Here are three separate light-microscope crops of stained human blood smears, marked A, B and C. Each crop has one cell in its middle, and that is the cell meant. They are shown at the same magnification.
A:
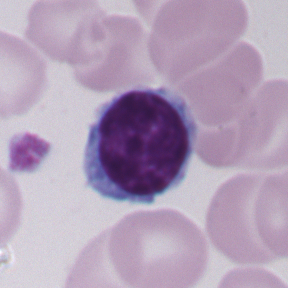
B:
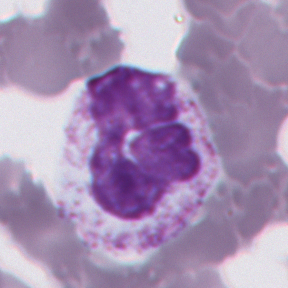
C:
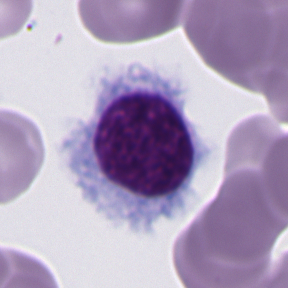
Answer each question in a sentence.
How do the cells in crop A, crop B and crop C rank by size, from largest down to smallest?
From the largest down, the order is B, C, A.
